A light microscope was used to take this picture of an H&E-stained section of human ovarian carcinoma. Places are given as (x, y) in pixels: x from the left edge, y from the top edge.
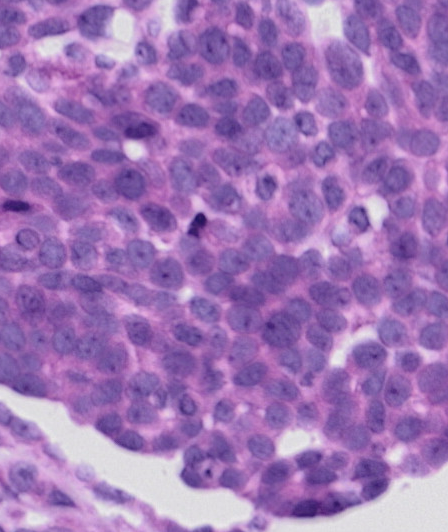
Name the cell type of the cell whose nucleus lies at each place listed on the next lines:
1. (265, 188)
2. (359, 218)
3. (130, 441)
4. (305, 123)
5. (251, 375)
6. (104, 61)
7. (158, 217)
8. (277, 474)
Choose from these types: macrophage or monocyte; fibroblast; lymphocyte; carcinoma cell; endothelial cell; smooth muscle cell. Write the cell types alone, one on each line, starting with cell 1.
macrophage or monocyte
macrophage or monocyte
carcinoma cell
macrophage or monocyte
carcinoma cell
macrophage or monocyte
carcinoma cell
carcinoma cell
